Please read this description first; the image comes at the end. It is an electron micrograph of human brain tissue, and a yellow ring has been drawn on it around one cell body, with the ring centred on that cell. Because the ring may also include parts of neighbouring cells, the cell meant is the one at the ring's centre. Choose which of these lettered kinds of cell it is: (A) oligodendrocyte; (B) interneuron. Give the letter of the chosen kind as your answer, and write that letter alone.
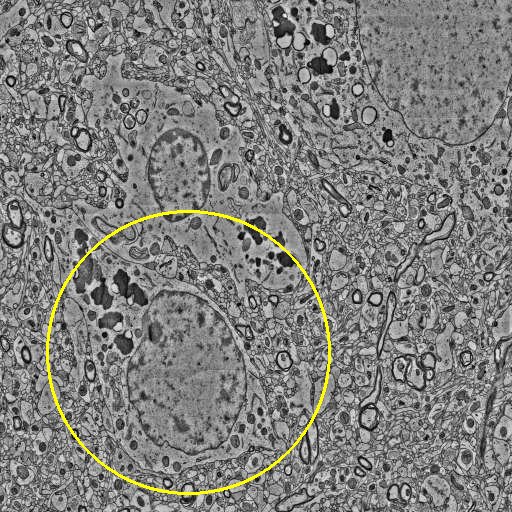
B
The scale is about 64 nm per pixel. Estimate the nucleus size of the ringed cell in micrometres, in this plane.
Roughly 11 by 8 micrometres in this plane, for the nucleus of the ringed cell.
